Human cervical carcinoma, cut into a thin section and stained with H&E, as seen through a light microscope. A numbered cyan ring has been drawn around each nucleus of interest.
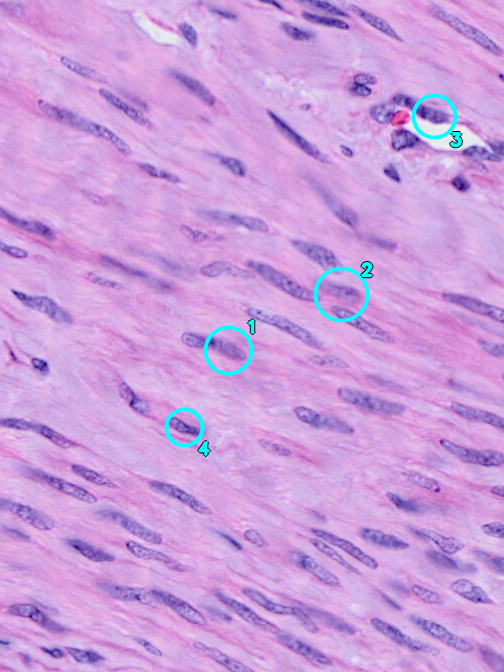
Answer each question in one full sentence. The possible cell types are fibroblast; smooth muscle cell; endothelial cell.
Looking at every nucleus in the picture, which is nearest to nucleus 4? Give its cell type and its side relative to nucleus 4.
A smooth muscle cell lies closest, above and to the left of nucleus 4.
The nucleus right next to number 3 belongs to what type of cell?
The nucleus nearest to number 3 is that of an endothelial cell.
